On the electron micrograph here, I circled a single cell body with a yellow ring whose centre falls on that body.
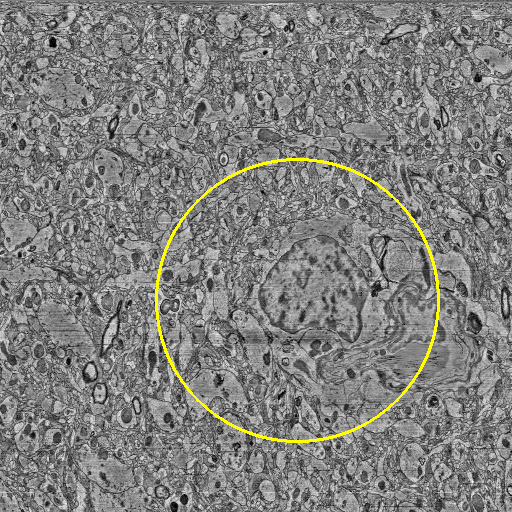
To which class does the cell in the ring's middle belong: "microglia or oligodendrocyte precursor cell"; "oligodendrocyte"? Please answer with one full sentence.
In this picture, the cell body circled at the ring's centre belongs to a microglial cell or oligodendrocyte precursor cell.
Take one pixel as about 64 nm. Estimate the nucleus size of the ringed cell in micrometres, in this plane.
The nucleus works out at approximately 7 by 6 micrometres in this plane.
